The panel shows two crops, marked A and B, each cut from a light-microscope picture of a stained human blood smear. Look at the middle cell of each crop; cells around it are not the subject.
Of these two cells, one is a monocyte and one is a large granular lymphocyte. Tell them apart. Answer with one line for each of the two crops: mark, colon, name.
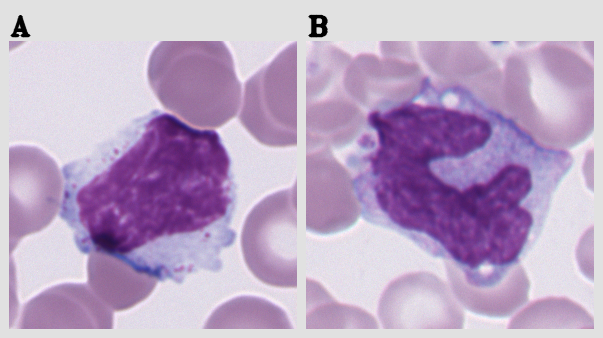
A: large granular lymphocyte
B: monocyte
